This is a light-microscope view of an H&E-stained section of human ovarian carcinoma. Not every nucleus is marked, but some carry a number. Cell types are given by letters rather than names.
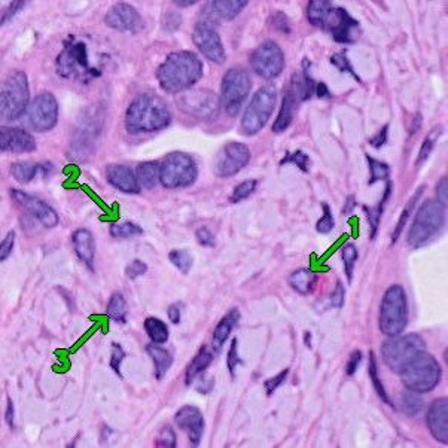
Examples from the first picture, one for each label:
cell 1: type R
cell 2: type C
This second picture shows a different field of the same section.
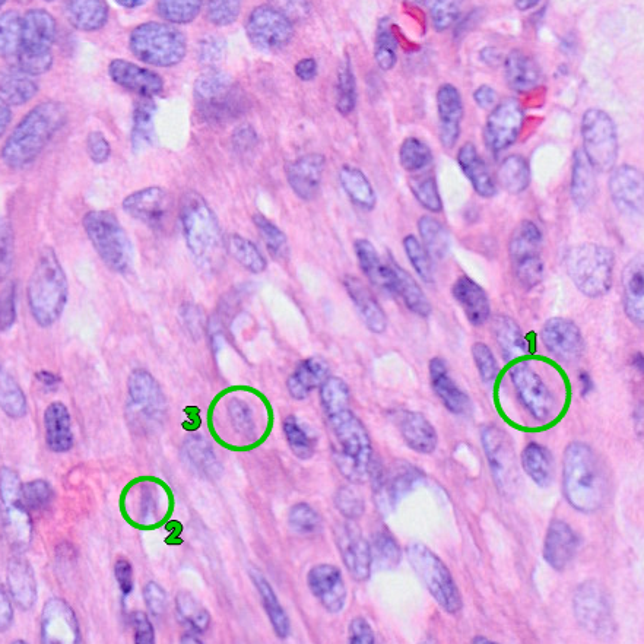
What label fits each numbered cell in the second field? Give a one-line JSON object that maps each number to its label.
{"1": "type R", "2": "type C", "3": "type C"}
